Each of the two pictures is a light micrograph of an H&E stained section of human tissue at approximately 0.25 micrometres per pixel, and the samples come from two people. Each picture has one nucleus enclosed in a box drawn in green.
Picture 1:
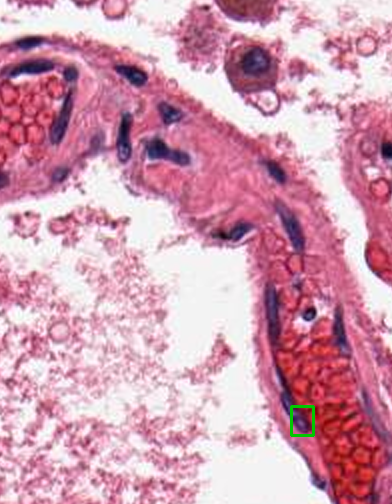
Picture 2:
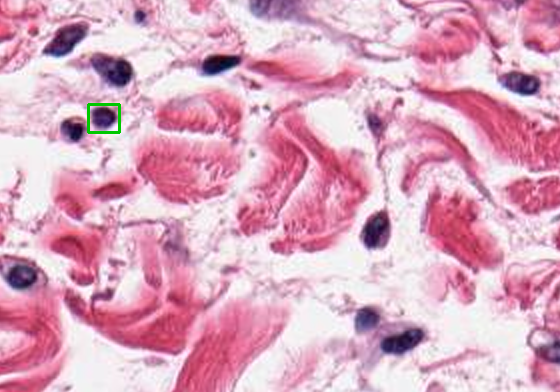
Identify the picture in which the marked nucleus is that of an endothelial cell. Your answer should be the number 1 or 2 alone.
1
